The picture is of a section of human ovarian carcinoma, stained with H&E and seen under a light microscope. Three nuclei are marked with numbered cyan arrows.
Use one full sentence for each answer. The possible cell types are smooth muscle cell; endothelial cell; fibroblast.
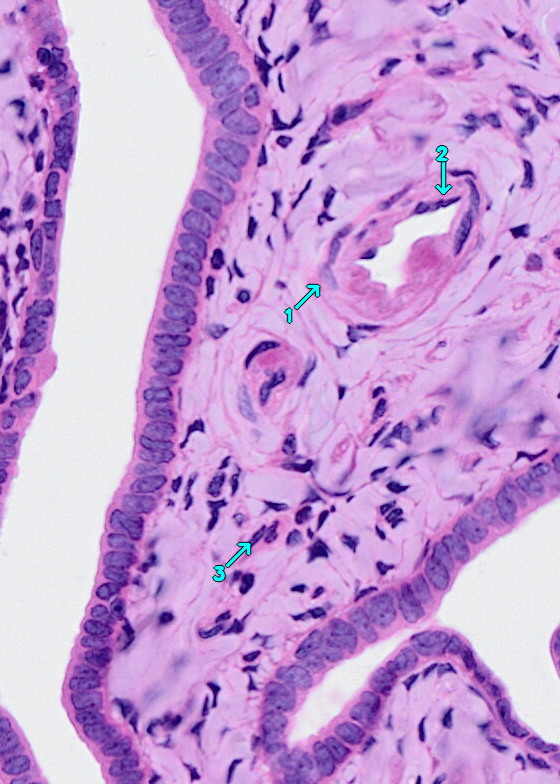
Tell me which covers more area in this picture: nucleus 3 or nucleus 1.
Number 1 is larger; its area is about 2 times that of number 3.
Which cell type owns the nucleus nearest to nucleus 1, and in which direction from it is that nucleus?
Just above nucleus 1 lies the nearest nucleus, which belongs to a smooth muscle cell.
